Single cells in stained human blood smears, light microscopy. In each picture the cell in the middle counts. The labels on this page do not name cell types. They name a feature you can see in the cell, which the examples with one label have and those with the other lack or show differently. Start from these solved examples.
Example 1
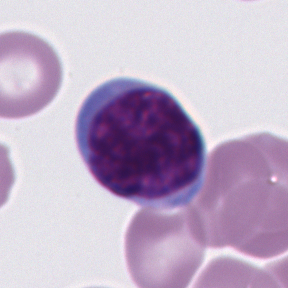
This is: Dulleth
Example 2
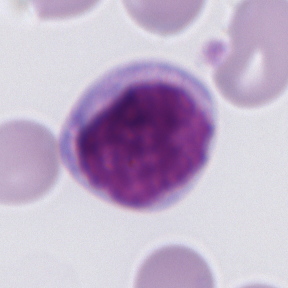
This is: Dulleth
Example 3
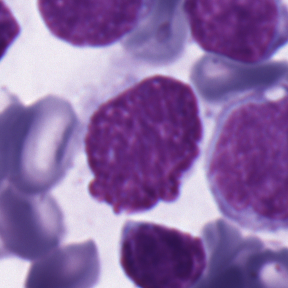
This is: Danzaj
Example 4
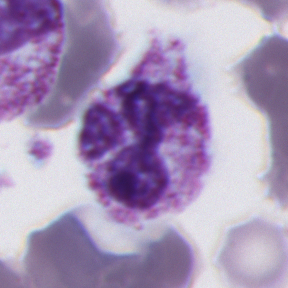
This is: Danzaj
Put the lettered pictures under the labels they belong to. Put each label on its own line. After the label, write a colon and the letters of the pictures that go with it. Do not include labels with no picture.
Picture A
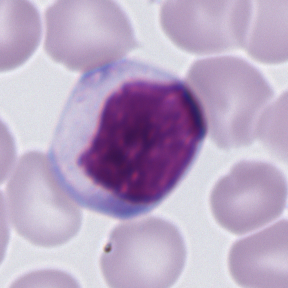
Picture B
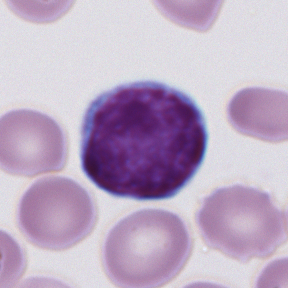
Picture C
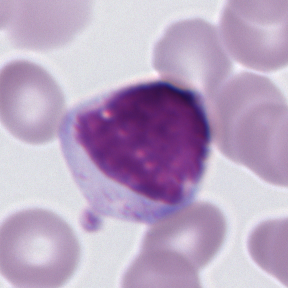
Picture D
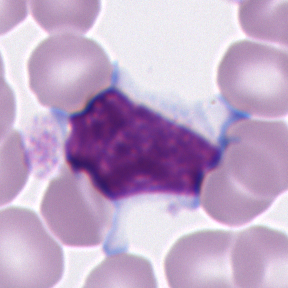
Dulleth: A, B
Danzaj: C, D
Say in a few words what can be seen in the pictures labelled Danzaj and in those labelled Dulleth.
Danzaj, ragged outline or projections; Dulleth, smooth outline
